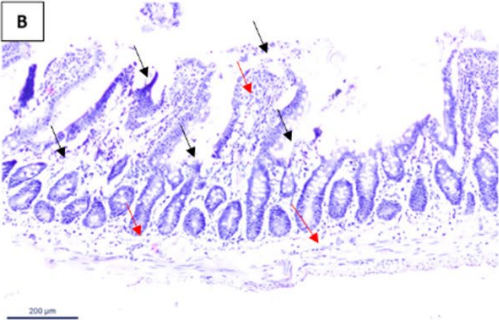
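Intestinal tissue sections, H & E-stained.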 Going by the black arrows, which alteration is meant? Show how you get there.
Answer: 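Villi are short, stubby and broken, unlike long finger-like projections. The epithelial lining at the villus surface is ragged and discontinuous. Detached debris lies above the mucosal surface. That points to this answer: epithelial degeneration and loss of villi and crypts.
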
